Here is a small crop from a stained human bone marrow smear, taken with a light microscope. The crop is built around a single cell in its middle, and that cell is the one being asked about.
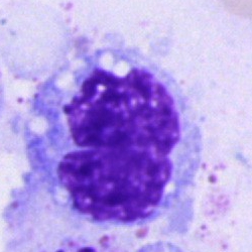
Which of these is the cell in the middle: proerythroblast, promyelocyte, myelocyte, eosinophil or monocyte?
monocyte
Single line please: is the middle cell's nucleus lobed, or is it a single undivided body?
Two or more lobes make up the nucleus of this cell.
